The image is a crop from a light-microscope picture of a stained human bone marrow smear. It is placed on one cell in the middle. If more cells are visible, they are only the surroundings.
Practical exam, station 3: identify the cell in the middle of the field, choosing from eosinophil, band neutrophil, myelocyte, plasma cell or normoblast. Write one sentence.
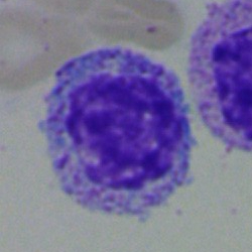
The middle cell in this particular crop is a myelocyte.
